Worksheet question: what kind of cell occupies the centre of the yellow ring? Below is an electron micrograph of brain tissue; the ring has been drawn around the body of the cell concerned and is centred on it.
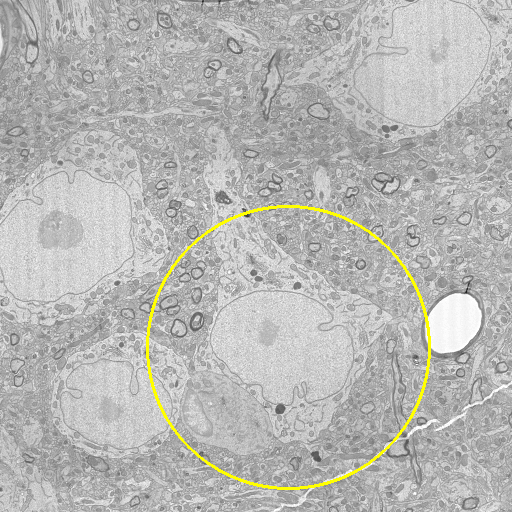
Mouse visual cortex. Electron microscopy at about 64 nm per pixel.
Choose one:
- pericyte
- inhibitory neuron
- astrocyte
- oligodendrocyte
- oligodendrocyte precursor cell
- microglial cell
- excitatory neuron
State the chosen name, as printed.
excitatory neuron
